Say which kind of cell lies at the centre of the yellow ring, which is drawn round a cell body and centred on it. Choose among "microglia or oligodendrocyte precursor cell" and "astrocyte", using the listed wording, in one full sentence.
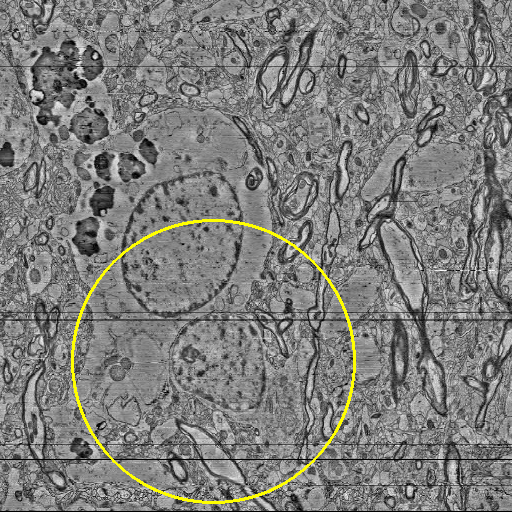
Going by the list, the cell at the yellow ring's centre is a microglial cell or oligodendrocyte precursor cell.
